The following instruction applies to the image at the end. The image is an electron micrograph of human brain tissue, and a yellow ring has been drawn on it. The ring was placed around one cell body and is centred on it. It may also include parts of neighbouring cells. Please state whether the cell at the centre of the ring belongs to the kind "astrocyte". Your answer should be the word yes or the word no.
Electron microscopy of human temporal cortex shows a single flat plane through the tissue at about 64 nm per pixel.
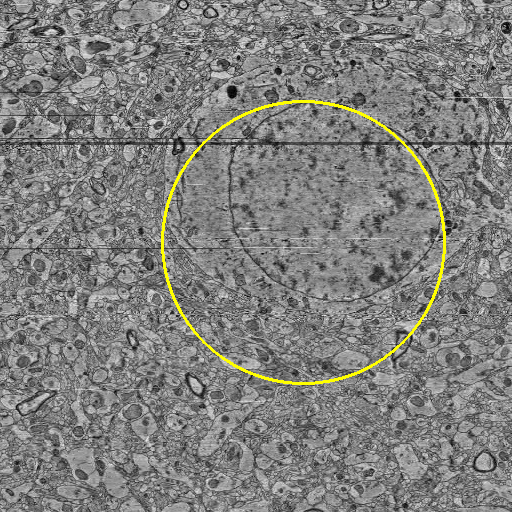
no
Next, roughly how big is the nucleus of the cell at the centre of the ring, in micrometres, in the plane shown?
In this plane, the nucleus of the cell at the centre of the ring is about 14 micrometres across.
